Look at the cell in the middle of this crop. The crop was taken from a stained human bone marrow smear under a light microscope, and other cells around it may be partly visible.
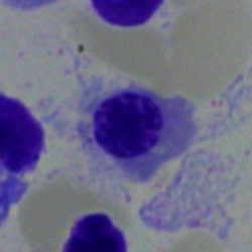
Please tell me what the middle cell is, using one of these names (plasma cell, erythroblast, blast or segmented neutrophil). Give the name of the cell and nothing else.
erythroblast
